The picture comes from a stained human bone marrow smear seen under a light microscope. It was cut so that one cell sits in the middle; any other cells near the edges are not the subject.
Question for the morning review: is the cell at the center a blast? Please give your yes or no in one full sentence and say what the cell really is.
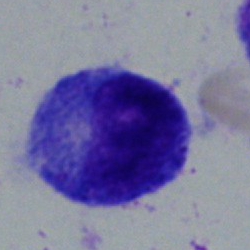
No, the central cell qualifies as a promyelocyte rather than as a blast.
